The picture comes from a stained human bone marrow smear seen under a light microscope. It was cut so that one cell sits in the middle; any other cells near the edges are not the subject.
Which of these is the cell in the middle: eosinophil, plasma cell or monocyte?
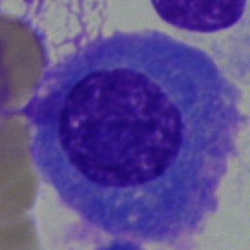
plasma cell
